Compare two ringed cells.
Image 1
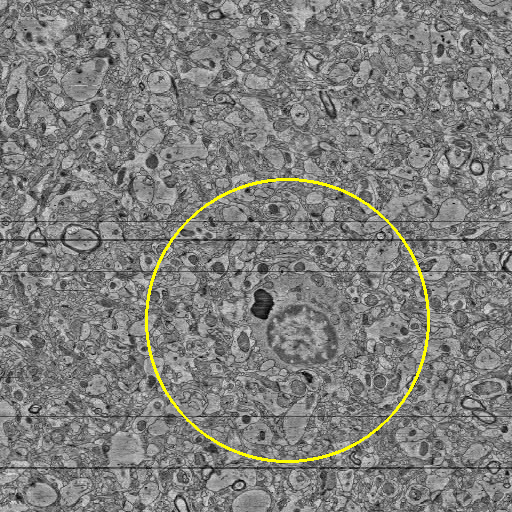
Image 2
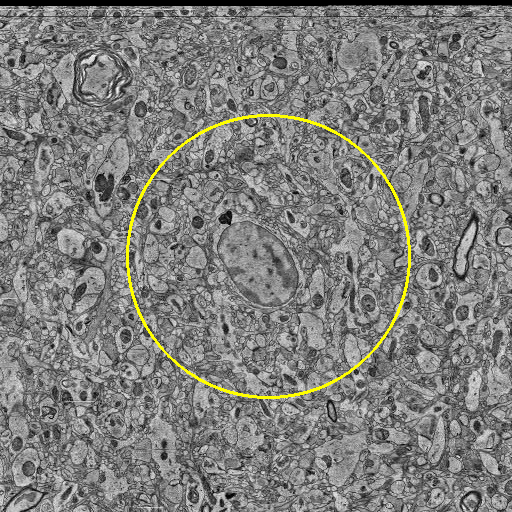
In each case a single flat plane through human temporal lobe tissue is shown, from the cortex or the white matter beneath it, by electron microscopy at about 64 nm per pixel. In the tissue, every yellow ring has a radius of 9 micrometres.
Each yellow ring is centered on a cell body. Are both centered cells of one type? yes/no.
no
